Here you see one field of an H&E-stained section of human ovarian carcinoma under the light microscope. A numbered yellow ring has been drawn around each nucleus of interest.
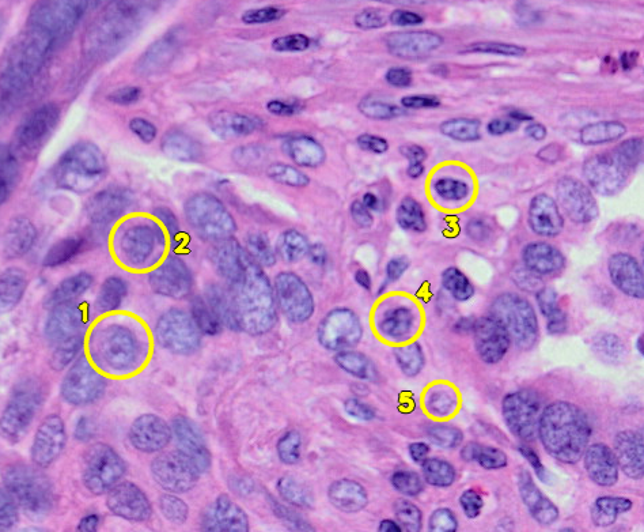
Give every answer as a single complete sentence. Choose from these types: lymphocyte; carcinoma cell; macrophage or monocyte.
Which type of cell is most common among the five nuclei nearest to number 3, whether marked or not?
Macrophages or monocytes make up most of the five nuclei closest to number 3.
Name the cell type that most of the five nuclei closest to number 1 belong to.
Of the five nuclei nearest to number 1, most belong to carcinoma cells.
